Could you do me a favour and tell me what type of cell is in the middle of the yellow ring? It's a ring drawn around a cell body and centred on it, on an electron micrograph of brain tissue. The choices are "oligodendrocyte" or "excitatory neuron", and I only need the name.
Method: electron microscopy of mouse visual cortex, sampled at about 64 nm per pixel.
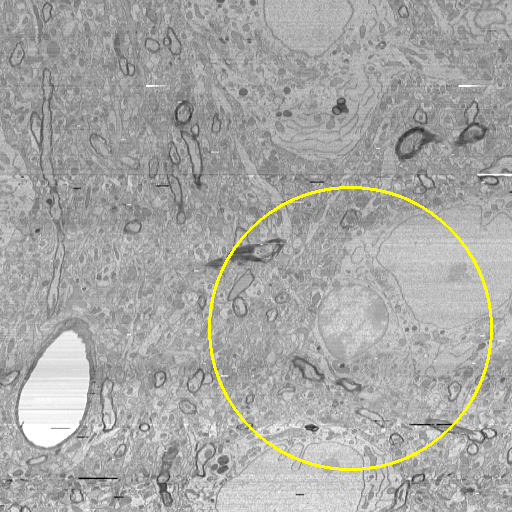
oligodendrocyte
